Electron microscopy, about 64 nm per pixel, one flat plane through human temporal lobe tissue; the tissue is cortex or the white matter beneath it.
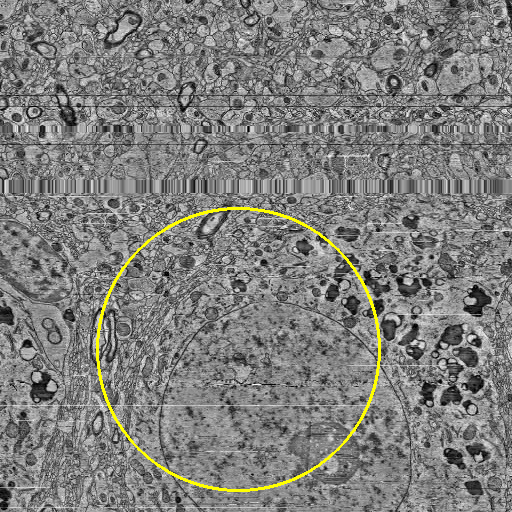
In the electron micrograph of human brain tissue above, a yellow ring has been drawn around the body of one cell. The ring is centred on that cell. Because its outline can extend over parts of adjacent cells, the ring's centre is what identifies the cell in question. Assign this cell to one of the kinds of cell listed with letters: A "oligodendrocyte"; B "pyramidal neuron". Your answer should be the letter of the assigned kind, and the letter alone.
B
